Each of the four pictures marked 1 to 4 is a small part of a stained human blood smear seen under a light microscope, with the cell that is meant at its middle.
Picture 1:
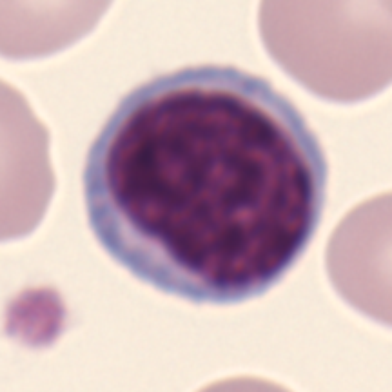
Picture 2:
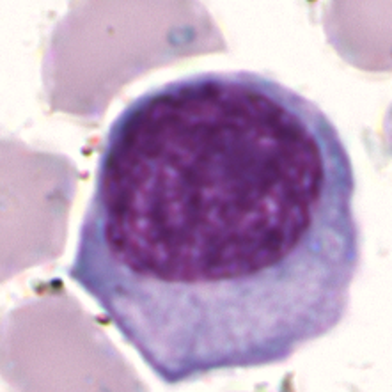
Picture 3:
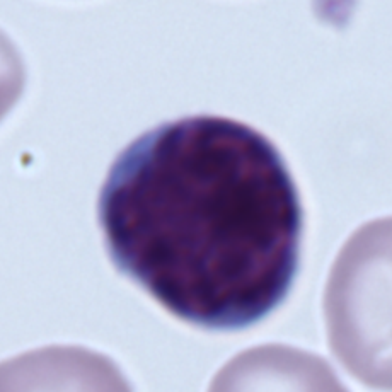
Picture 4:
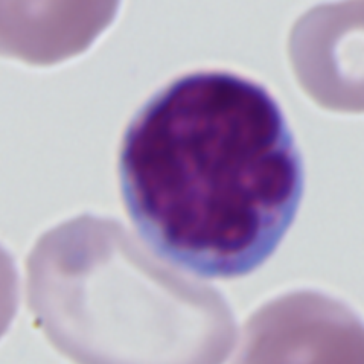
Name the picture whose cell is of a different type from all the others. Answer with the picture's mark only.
2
